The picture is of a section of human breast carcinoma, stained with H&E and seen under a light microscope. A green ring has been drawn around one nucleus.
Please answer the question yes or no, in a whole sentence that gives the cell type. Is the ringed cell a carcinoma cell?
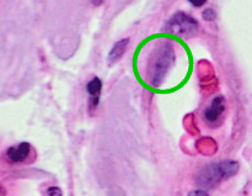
No; the ringed cell should be labelled an endothelial cell rather than a carcinoma cell.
